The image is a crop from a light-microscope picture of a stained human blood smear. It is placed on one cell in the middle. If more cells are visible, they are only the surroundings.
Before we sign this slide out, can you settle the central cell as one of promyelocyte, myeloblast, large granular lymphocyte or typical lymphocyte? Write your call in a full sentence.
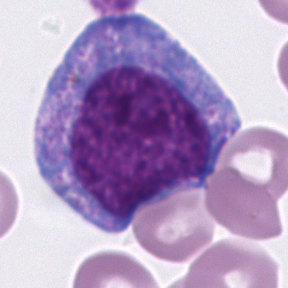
Centred in the crop is a promyelocyte.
